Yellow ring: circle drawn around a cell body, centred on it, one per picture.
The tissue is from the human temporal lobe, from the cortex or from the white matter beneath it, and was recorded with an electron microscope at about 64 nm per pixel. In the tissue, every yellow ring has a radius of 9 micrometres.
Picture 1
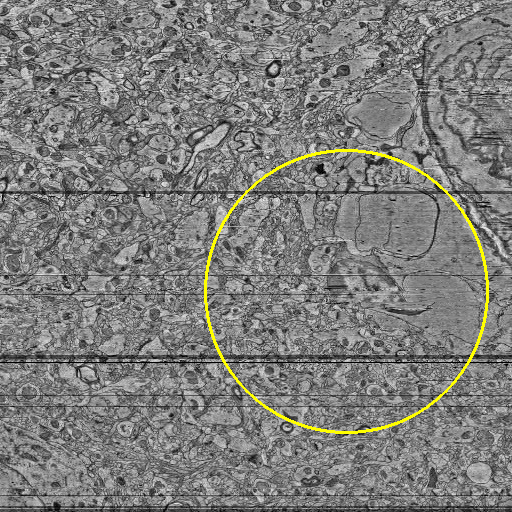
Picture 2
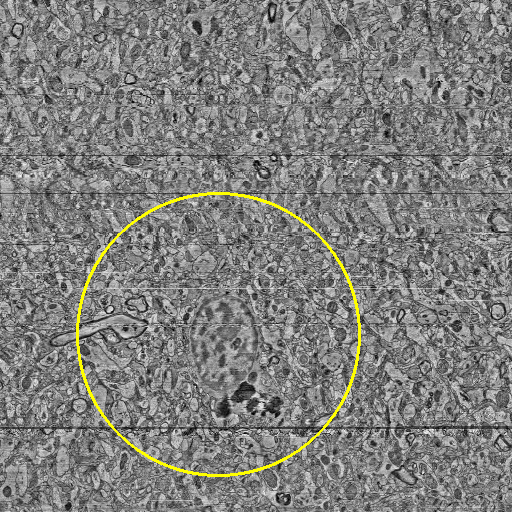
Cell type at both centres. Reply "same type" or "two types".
same type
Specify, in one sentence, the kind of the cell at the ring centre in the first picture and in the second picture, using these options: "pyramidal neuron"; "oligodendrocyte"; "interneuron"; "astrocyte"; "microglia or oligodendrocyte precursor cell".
Both cells are the same kind, each one being an oligodendrocyte.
